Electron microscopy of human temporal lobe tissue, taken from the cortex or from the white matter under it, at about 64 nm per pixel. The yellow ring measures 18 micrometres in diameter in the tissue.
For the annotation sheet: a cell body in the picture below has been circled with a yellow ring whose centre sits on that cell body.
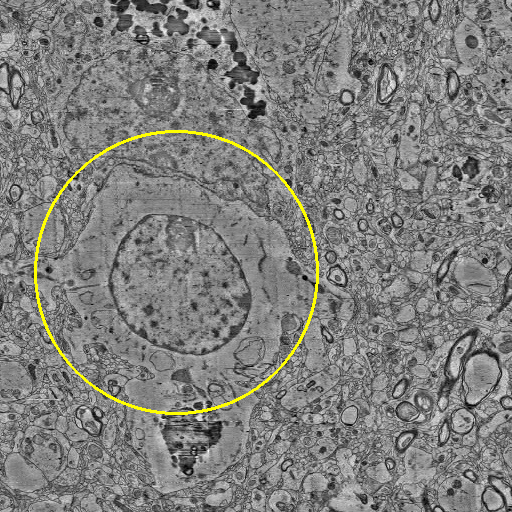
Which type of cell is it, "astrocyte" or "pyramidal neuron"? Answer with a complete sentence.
The circled cell is an astrocyte.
